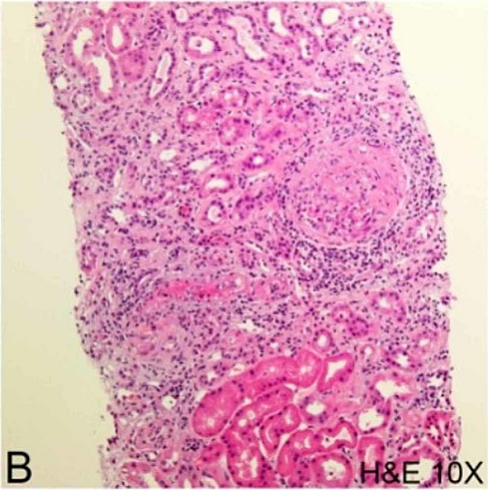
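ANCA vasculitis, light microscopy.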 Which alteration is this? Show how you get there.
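Many small dark round nuclei crowd the spaces between tubules. The infiltrate is densest around the round glomerulus at the right. The answer: interstitial inflammation.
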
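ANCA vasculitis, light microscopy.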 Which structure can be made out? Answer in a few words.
Crescent.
